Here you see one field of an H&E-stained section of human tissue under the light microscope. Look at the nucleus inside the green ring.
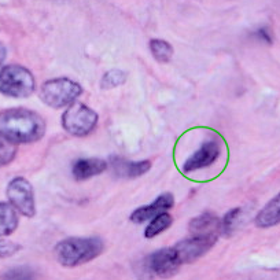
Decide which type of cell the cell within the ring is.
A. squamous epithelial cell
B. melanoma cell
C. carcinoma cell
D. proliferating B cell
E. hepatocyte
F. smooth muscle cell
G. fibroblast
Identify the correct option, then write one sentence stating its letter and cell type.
Option G holds, since the cell within the ring is a fibroblast.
